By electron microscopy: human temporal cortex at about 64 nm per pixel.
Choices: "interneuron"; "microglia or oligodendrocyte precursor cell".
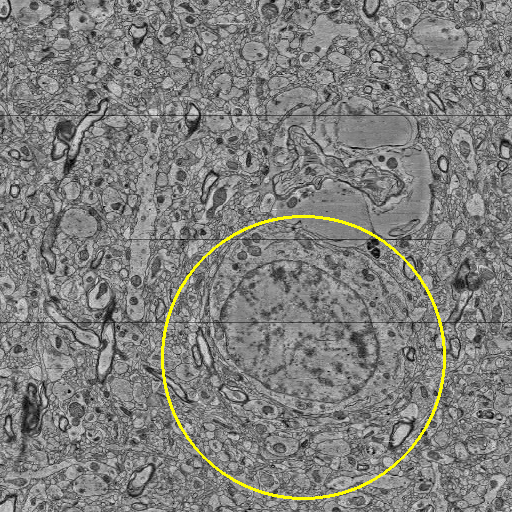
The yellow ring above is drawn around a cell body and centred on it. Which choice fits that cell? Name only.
interneuron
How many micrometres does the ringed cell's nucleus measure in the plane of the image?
The nucleus of the ringed cell is approximately 11 by 9 micrometres in this plane.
